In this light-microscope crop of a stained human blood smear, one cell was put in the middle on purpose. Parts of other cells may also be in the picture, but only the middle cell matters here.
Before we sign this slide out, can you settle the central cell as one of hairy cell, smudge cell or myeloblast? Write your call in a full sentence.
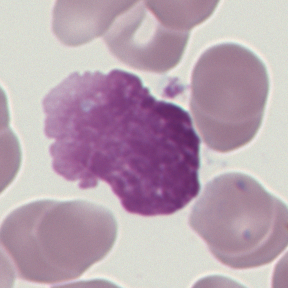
The cell found in the middle of this crop is a smudge cell.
